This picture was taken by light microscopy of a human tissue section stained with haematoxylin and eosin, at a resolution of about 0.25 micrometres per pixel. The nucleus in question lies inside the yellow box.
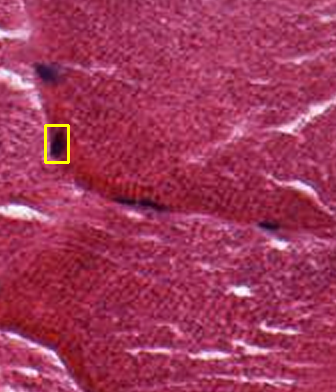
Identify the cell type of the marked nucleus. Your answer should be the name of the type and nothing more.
skeletal muscle fibre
